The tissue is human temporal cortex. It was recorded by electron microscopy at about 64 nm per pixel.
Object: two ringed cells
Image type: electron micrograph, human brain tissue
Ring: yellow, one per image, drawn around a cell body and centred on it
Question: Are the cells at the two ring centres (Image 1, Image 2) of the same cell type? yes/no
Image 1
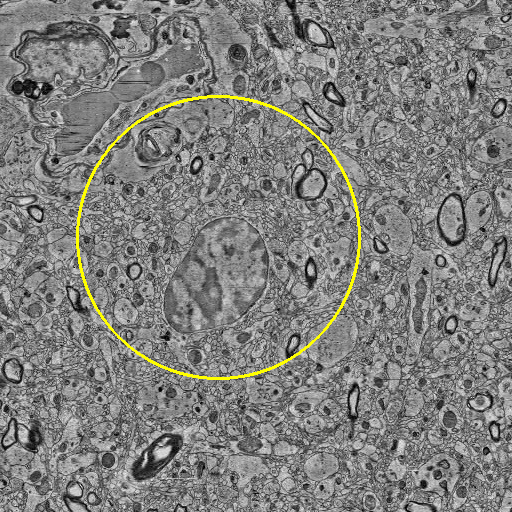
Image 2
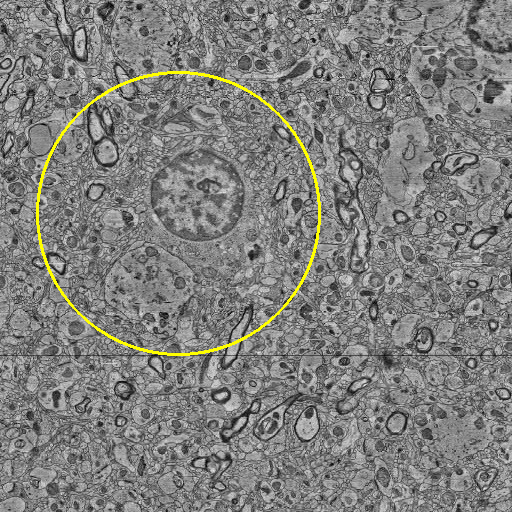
no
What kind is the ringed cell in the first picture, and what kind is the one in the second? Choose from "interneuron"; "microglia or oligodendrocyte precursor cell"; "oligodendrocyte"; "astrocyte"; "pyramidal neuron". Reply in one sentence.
The first cell is a microglial cell or oligodendrocyte precursor cell; the second is an oligodendrocyte.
